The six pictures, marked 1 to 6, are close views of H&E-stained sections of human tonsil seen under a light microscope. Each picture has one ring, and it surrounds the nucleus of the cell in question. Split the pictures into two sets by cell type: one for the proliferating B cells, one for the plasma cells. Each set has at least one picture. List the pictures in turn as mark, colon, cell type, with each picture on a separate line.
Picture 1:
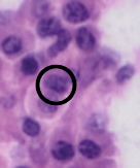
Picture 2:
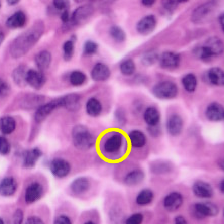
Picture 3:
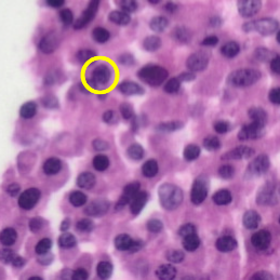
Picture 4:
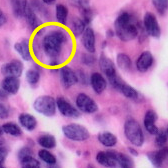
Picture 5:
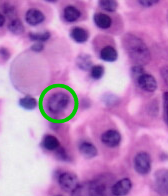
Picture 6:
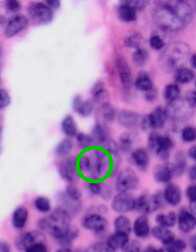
1: plasma cell
2: plasma cell
3: plasma cell
4: proliferating B cell
5: plasma cell
6: proliferating B cell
